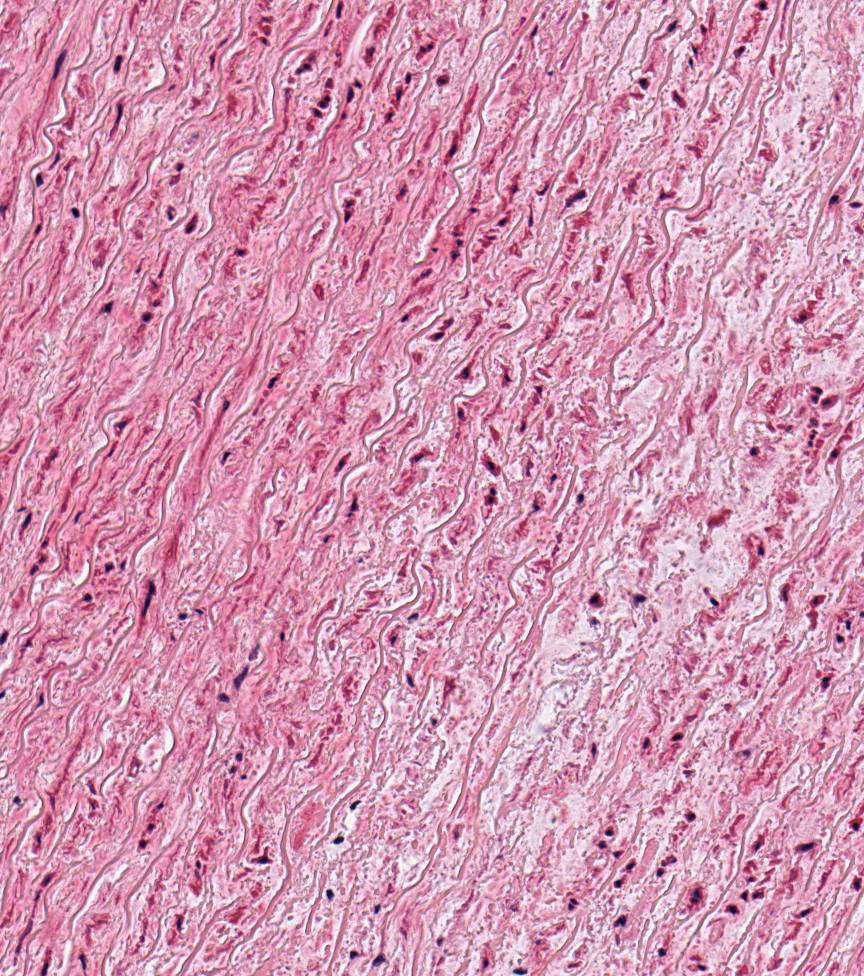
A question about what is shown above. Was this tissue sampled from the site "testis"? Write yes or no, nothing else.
no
